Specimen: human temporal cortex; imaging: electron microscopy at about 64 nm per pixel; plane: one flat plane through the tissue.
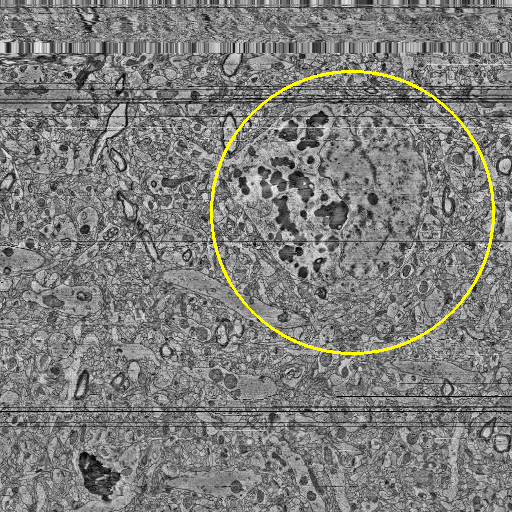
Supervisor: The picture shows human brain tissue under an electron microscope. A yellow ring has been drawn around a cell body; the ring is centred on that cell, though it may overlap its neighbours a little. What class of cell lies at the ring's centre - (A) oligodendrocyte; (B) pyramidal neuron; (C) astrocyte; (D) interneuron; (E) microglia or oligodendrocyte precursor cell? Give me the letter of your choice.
D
